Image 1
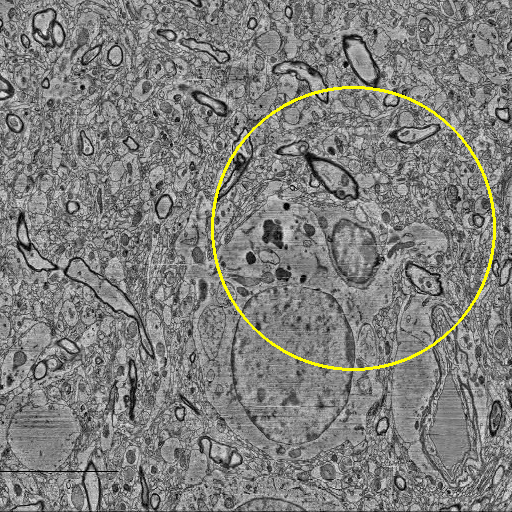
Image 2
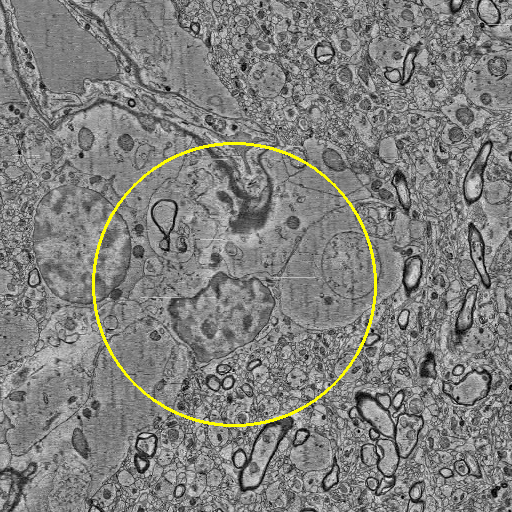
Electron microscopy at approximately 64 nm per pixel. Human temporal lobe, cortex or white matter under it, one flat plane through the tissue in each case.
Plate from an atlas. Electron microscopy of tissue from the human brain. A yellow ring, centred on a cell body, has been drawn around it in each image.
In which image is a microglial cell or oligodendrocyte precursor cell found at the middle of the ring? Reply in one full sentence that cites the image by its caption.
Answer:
The requested cell is the one at the ring's centre in Image 2.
